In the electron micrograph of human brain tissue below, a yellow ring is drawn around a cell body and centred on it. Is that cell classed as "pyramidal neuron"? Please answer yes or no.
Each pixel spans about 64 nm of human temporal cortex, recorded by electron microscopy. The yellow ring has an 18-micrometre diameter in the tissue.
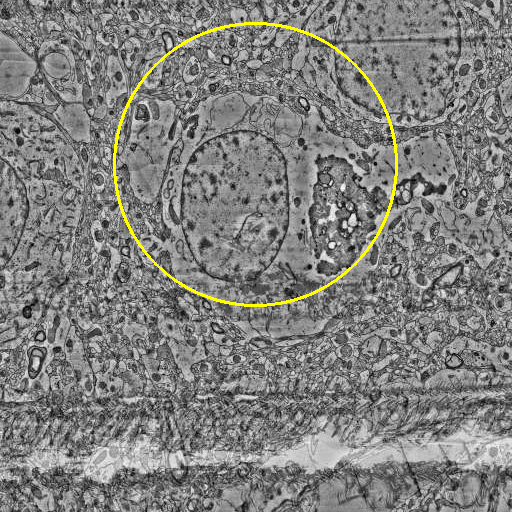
no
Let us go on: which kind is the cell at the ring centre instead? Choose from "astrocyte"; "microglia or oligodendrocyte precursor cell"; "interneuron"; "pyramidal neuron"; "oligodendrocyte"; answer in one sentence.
The ringed cell in this picture is, instead, an astrocyte.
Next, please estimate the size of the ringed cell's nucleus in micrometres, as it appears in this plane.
About 10 micrometres by about 7 micrometres in this plane.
